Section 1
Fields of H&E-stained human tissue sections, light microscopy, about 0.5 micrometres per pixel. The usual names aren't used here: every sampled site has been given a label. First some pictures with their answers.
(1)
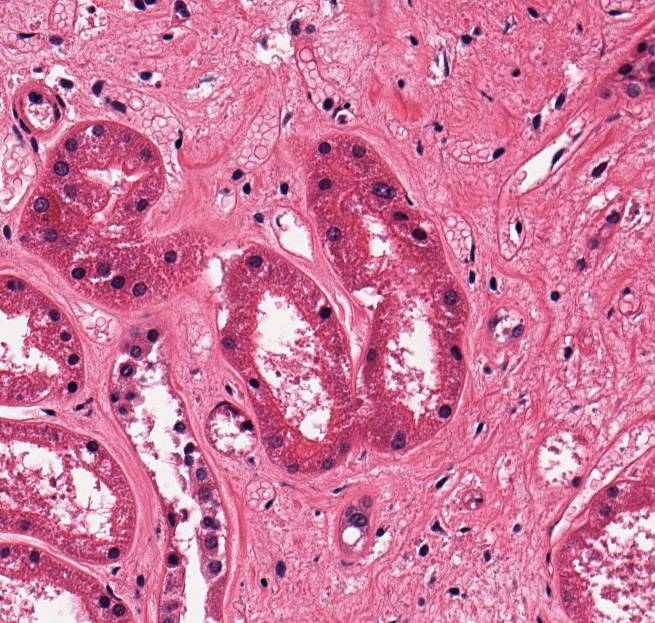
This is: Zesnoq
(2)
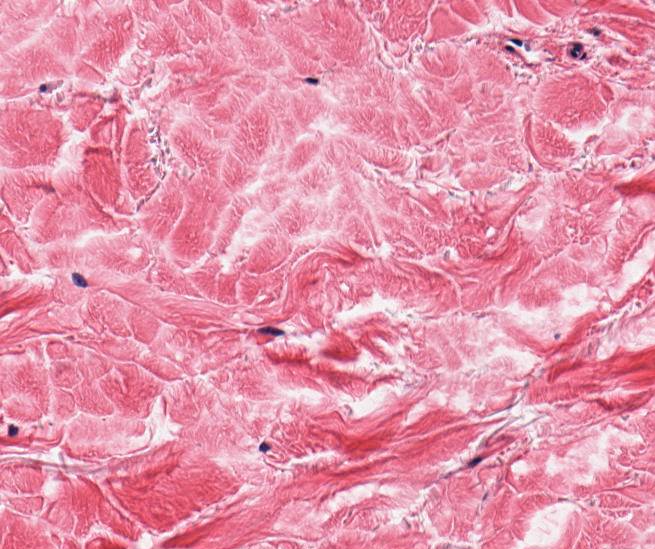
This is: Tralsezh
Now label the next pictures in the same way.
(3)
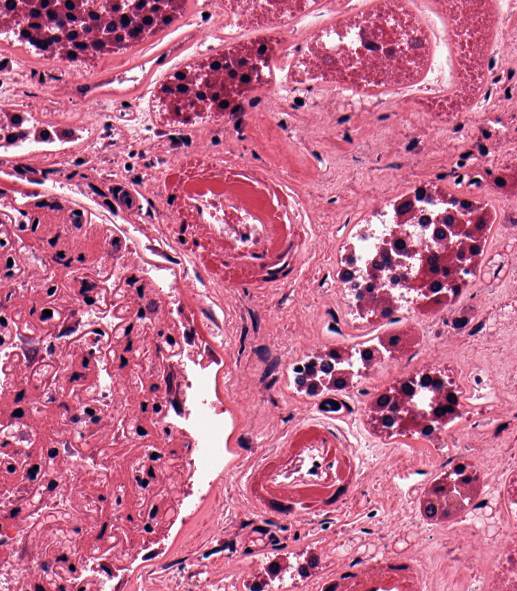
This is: Zesnoq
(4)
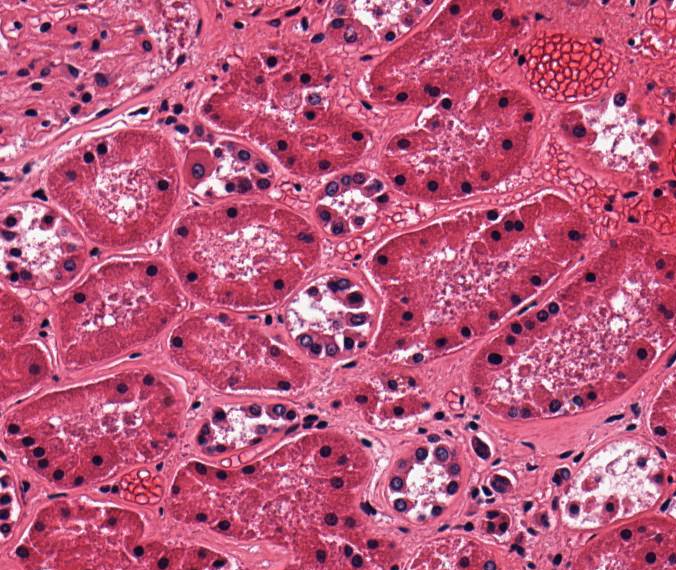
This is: Zesnoq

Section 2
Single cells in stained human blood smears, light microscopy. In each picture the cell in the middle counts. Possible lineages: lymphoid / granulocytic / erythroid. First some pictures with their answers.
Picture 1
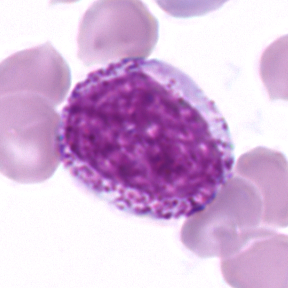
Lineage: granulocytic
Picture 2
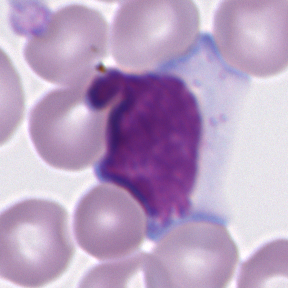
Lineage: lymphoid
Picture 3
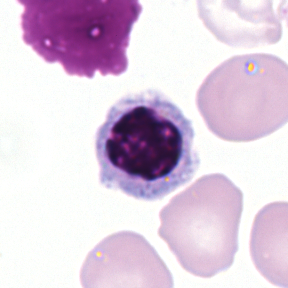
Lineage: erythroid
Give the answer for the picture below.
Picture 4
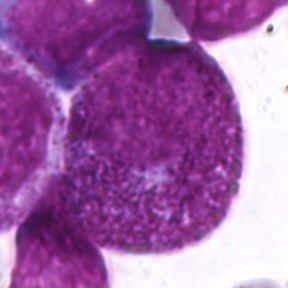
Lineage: granulocytic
